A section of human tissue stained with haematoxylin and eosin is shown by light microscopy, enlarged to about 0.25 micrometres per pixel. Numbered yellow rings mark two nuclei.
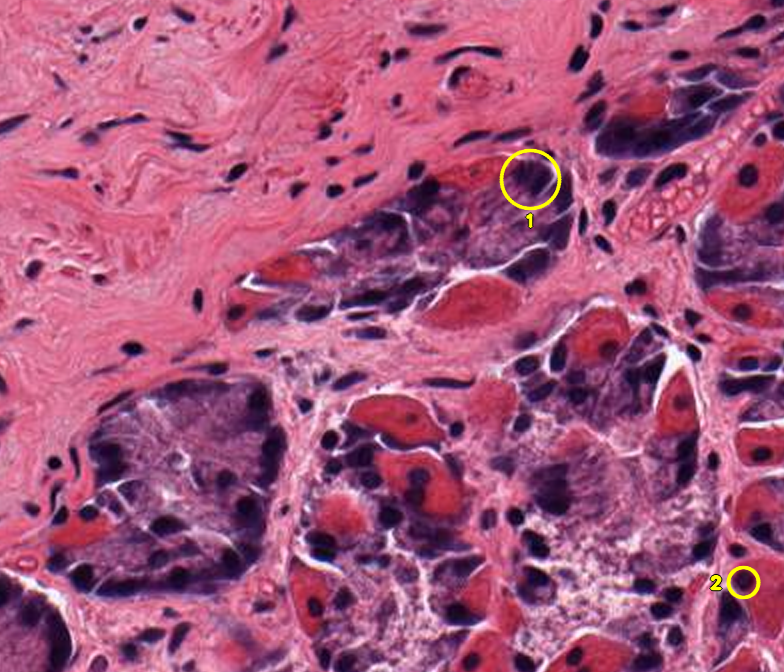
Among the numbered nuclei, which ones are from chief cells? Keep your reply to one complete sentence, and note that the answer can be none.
Of all those numbered, nucleus 1 alone is the nucleus of a chief cell.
